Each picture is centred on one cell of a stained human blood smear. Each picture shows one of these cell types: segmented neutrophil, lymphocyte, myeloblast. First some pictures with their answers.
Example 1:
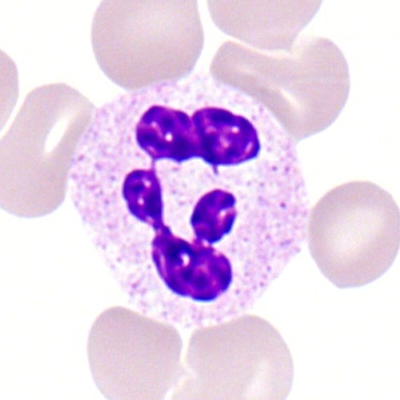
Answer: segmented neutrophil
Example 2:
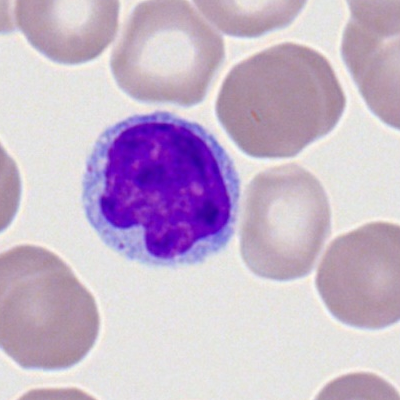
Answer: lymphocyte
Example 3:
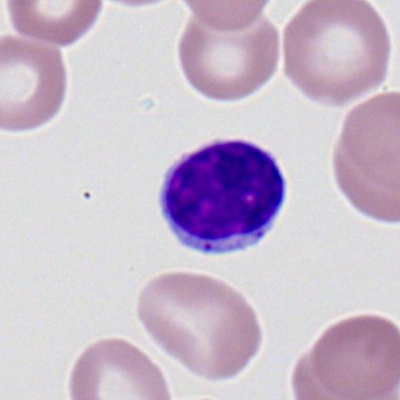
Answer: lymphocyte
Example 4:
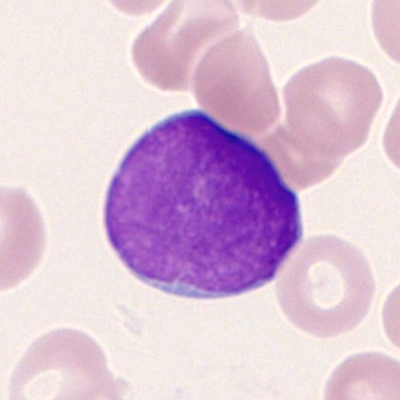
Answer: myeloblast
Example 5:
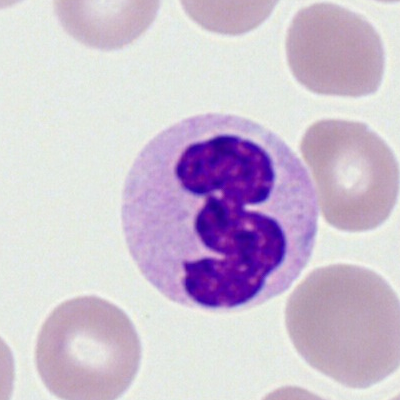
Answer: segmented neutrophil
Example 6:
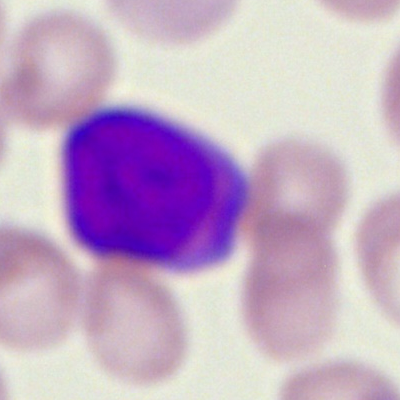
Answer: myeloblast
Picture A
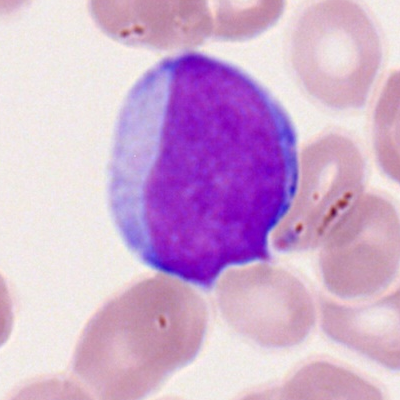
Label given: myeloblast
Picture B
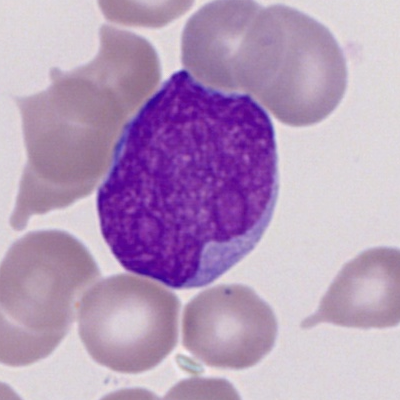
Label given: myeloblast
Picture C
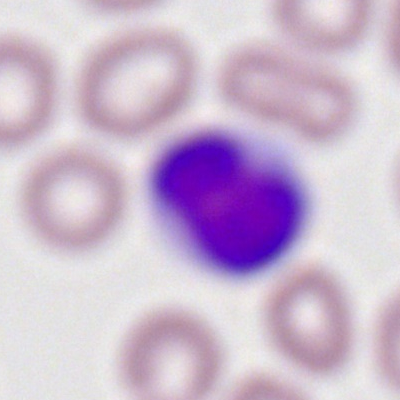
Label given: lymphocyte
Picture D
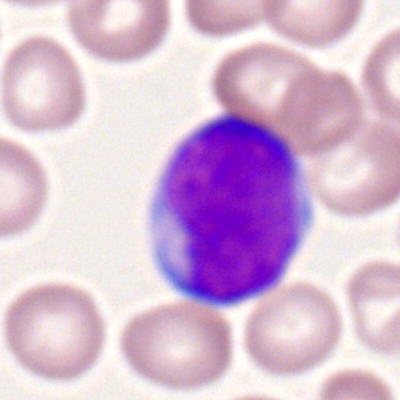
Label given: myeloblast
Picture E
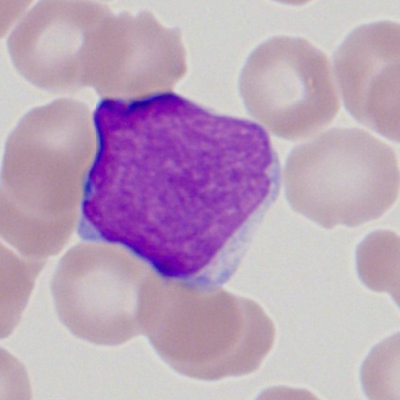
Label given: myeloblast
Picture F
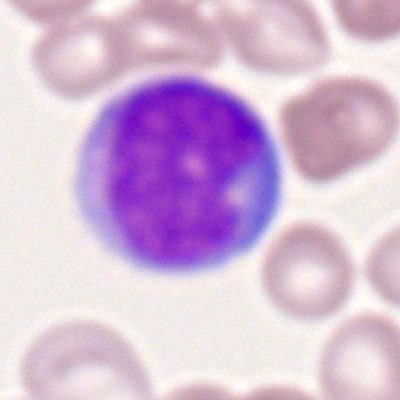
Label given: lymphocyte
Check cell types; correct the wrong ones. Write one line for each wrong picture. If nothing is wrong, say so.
Wrong: F (lymphocyte); correct: myeloblast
